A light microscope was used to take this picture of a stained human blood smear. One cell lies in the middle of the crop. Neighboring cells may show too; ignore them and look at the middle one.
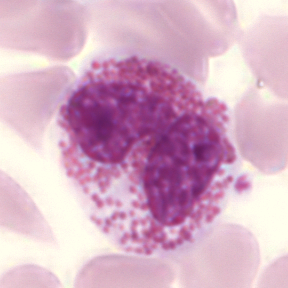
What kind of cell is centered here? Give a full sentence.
The single cell at the center of the crop is an eosinophil.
